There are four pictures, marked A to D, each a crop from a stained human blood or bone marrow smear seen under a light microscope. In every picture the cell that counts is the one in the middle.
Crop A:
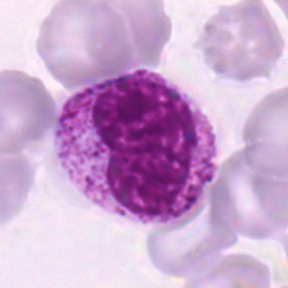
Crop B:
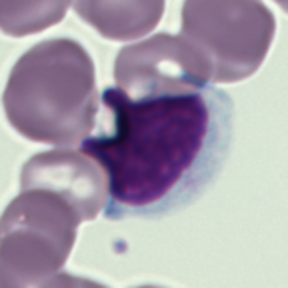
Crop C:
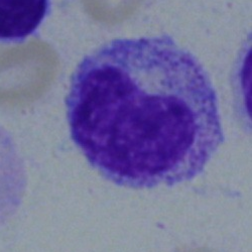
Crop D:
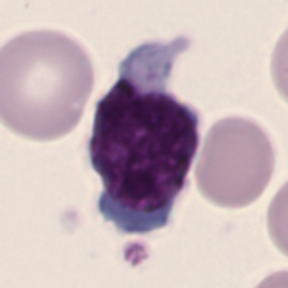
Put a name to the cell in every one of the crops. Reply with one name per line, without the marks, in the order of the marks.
metamyelocyte
lymphocyte
metamyelocyte
plasma cell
